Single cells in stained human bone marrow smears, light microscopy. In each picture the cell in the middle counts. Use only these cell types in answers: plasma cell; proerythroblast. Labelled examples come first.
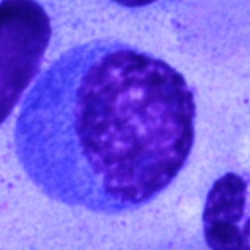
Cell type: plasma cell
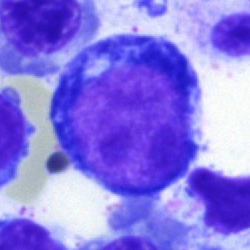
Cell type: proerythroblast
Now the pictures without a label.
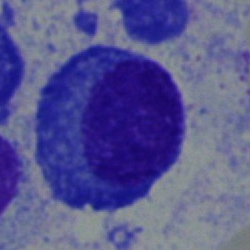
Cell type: plasma cell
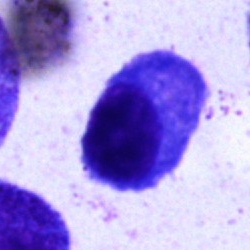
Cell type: plasma cell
